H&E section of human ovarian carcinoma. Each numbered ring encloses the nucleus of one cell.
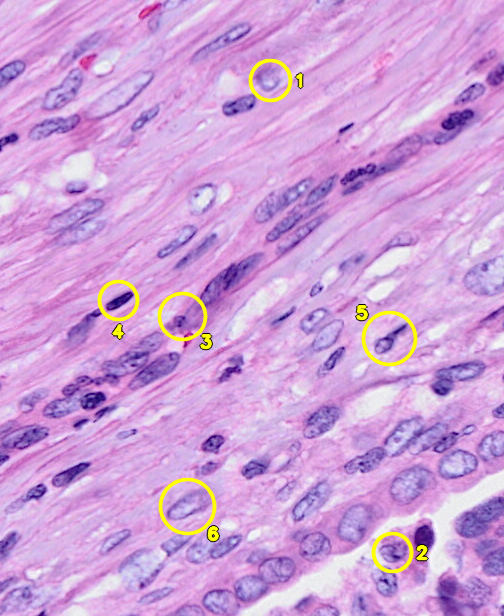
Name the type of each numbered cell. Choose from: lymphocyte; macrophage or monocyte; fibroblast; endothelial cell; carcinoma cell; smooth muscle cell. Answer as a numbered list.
1. fibroblast
2. macrophage or monocyte
3. endothelial cell
4. lymphocyte
5. macrophage or monocyte
6. fibroblast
